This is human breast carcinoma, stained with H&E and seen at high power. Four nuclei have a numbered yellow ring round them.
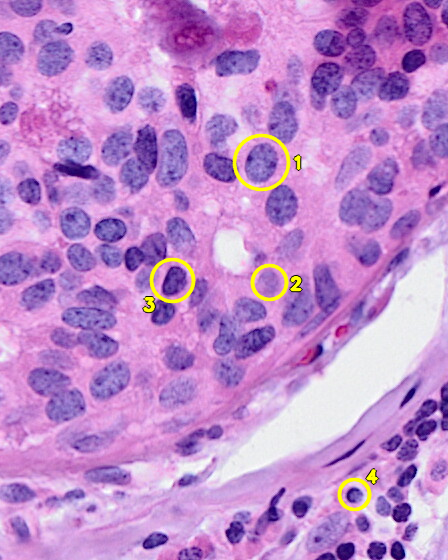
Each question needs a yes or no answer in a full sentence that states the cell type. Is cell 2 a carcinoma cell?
Yes, number 2 corresponds to a carcinoma cell.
